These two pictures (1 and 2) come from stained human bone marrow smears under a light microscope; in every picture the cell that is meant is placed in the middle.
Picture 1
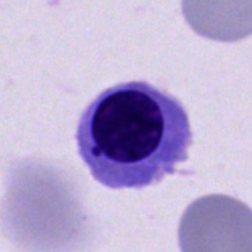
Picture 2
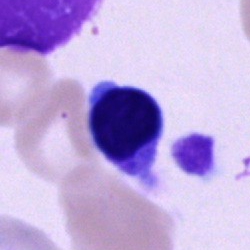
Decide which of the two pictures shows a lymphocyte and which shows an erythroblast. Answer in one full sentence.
Picture 1 is of an erythroblast, and picture 2 is of a lymphocyte.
